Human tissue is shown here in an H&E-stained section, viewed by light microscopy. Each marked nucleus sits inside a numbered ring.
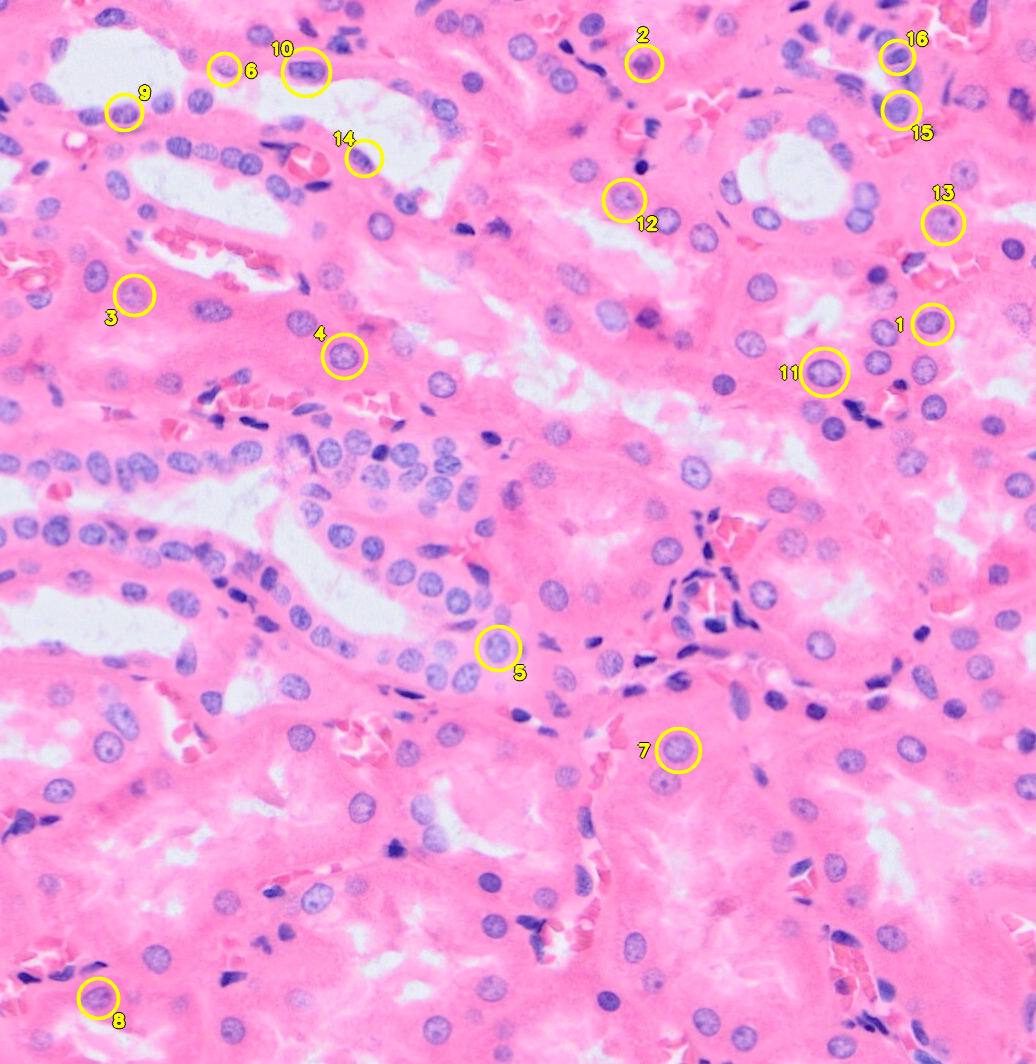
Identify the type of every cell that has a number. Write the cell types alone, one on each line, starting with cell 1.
proximal tubule cell
proximal tubule cell
proximal tubule cell
proximal tubule cell
collecting duct cell
loop of Henle or distal tubule cell
proximal tubule cell
proximal tubule cell
loop of Henle or distal tubule cell
loop of Henle or distal tubule cell
proximal tubule cell
proximal tubule cell
proximal tubule cell
loop of Henle or distal tubule cell
collecting duct cell
collecting duct cell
